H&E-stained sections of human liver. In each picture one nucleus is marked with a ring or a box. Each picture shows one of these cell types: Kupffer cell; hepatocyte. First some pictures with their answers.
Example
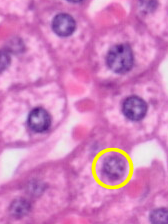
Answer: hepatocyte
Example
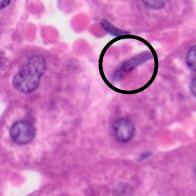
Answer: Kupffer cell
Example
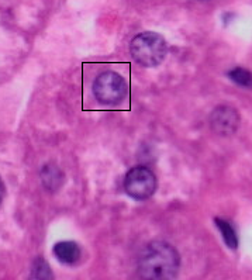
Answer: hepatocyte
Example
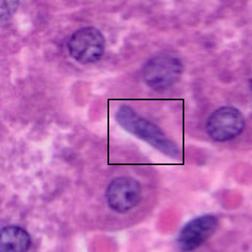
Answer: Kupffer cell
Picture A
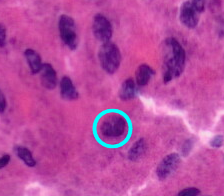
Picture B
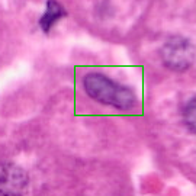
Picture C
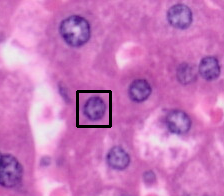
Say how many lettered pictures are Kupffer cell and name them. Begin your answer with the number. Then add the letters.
1, namely B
